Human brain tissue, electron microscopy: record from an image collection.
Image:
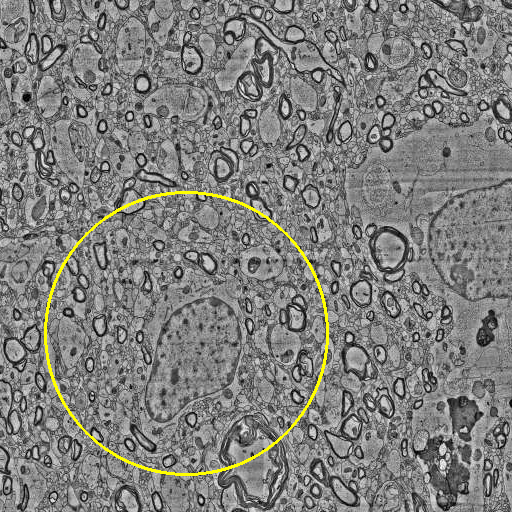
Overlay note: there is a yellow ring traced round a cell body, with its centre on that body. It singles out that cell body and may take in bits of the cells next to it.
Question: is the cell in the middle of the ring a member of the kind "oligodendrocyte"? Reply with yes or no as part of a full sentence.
No, the image's ringed cell, the one at the ring's centre, is a member of another kind.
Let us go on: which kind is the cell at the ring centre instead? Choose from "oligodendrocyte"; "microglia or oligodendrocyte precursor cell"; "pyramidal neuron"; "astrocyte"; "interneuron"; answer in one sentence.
Here, the ring is centred on a microglial cell or oligodendrocyte precursor cell instead.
